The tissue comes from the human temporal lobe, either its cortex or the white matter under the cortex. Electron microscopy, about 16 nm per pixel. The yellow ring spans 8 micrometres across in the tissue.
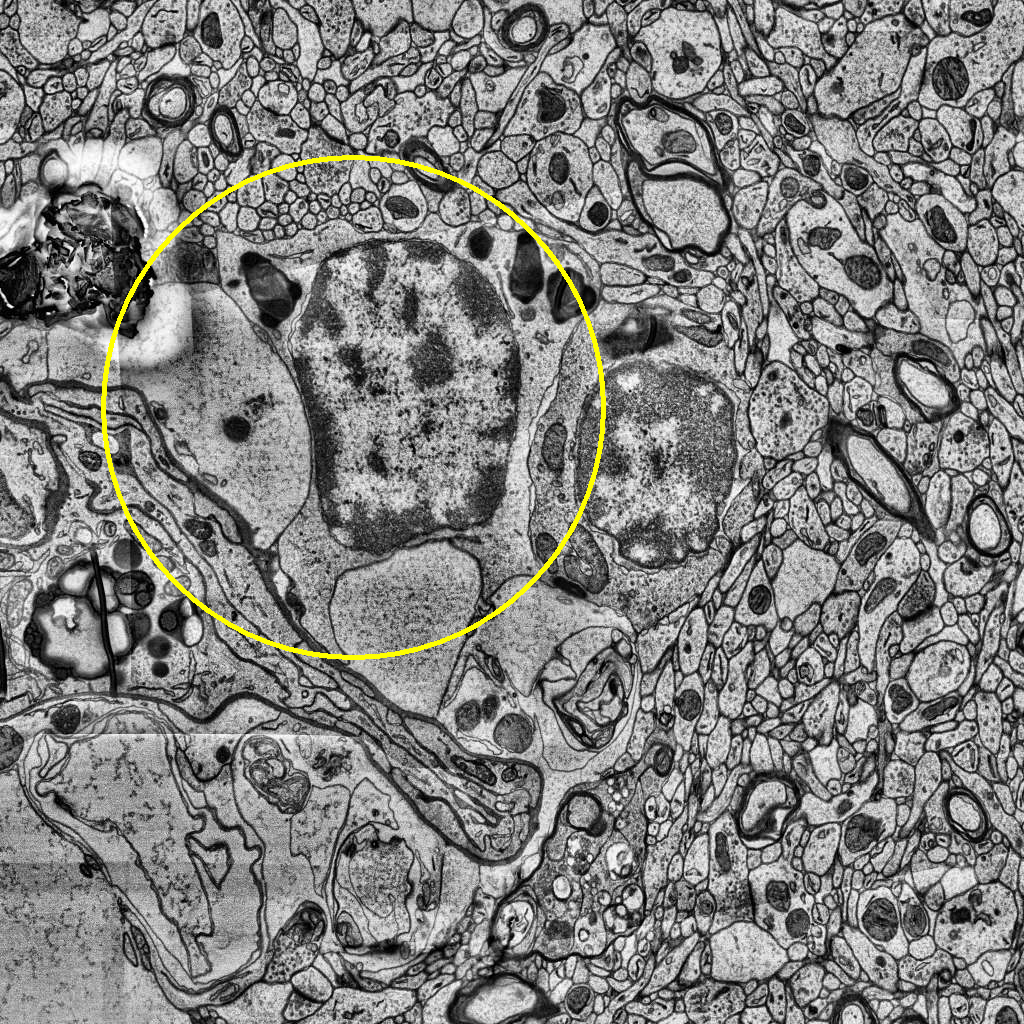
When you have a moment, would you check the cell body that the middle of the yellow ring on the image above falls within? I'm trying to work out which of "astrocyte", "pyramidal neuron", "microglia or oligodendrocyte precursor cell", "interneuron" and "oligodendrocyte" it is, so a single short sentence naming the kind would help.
This cell body belongs to a microglial cell or oligodendrocyte precursor cell.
